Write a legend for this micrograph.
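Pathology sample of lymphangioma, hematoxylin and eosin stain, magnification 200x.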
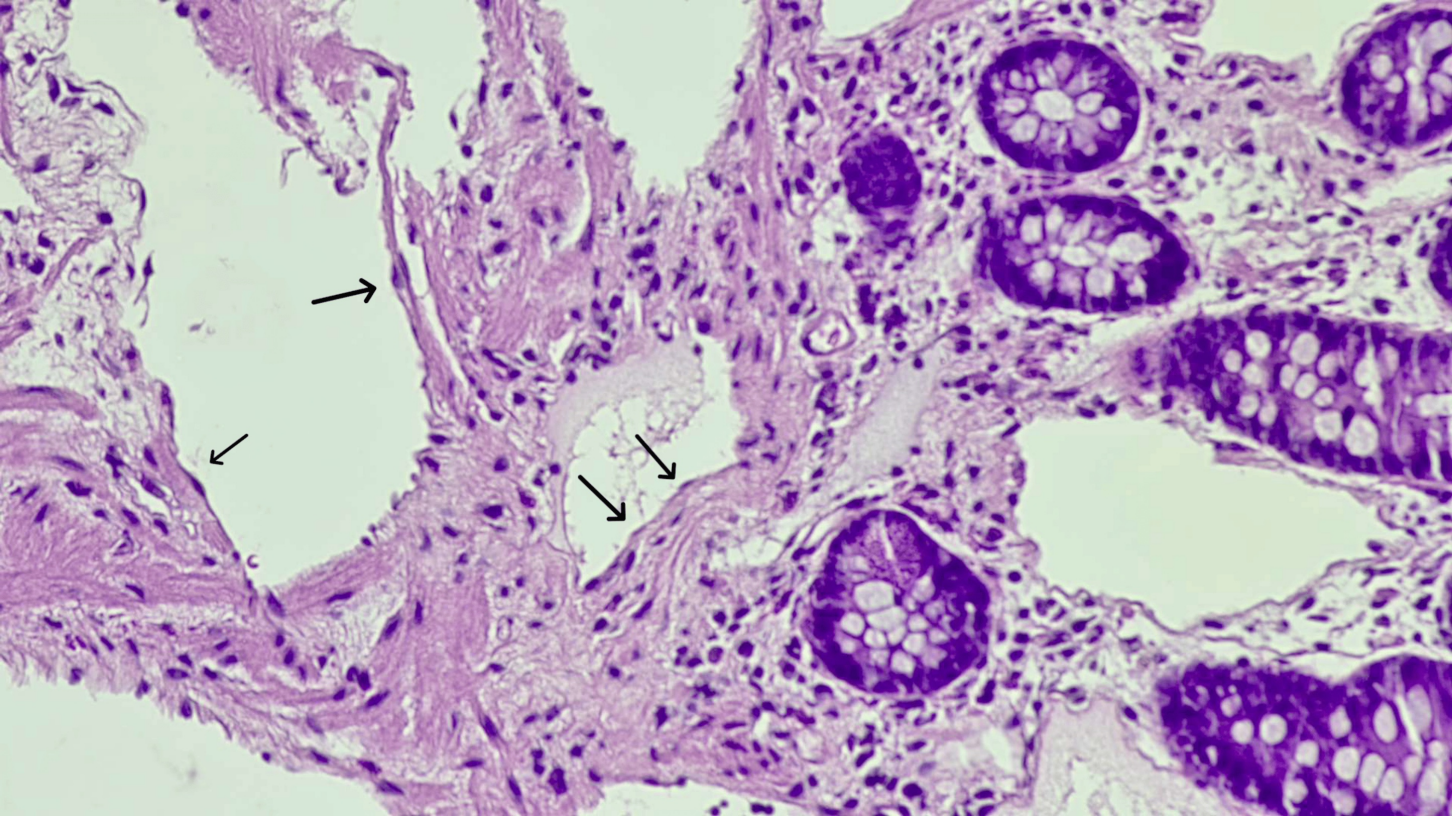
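This section shows large, irregular, thin-walled lymphatic channels lying in loose pink stroma, lined by endothelial cells. The lining cells are flat, with slender, elongated dark nuclei, and form a single delicate layer at the edge of each space. The channels look mostly empty, holding only a little pale, wispy material and no red blood cells. On the right, glands with dark purple epithelium and many pale, rounded mucin-filled goblet cells sit in the same stroma, which also holds scattered small dark nuclei.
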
